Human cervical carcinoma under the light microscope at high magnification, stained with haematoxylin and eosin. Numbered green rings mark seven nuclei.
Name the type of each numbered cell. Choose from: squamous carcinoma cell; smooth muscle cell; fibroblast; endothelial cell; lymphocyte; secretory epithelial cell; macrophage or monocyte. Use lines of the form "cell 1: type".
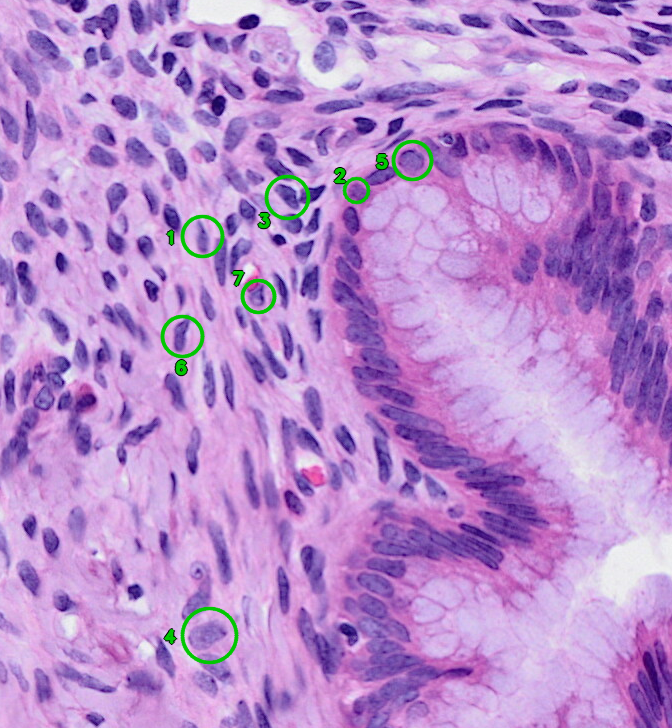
cell 1: fibroblast
cell 2: secretory epithelial cell
cell 3: fibroblast
cell 4: fibroblast
cell 5: secretory epithelial cell
cell 6: fibroblast
cell 7: endothelial cell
